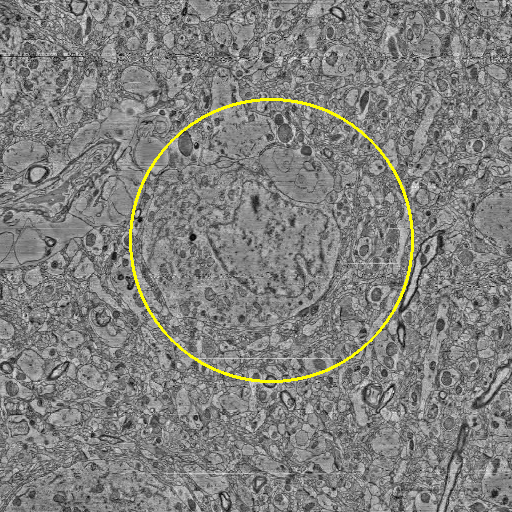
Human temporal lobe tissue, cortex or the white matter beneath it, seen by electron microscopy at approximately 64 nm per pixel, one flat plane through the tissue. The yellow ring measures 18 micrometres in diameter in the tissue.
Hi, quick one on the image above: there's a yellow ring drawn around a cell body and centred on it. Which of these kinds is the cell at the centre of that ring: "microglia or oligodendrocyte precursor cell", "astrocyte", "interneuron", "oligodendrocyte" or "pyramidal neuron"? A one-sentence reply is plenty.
The cell at the centre of the ring is an interneuron.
